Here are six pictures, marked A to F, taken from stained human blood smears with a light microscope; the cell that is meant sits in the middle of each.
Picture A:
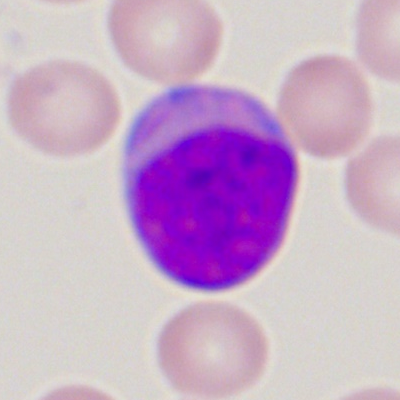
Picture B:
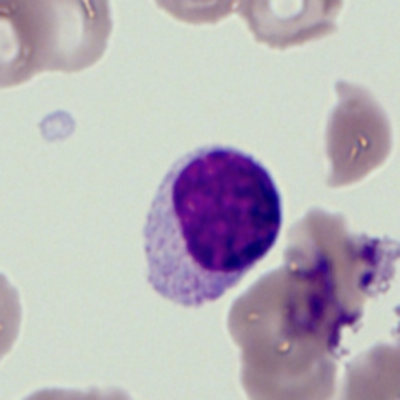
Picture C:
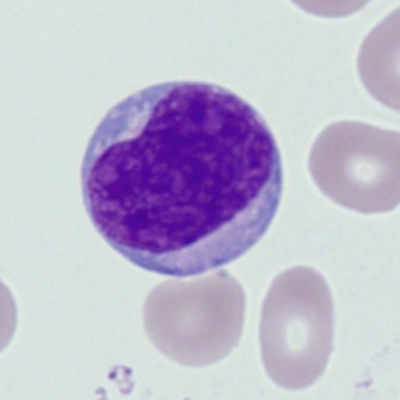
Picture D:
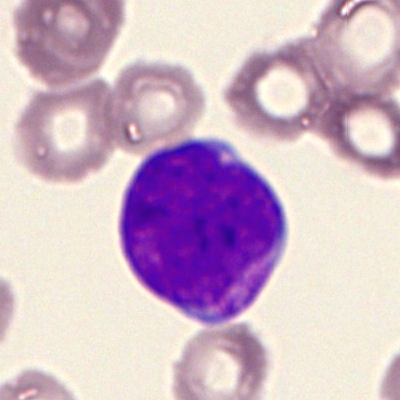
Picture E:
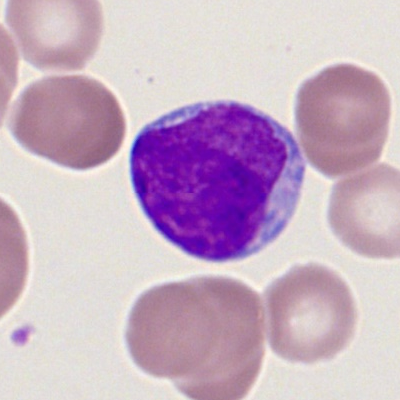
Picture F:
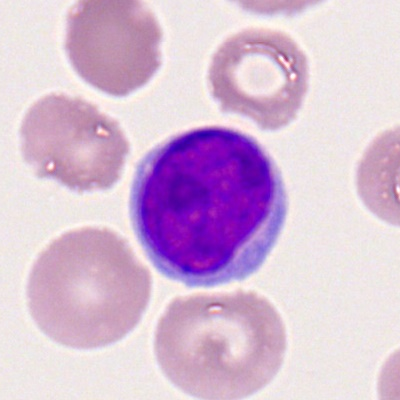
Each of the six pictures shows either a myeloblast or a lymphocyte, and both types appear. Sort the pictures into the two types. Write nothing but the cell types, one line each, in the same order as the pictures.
myeloblast
lymphocyte
myeloblast
myeloblast
myeloblast
lymphocyte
